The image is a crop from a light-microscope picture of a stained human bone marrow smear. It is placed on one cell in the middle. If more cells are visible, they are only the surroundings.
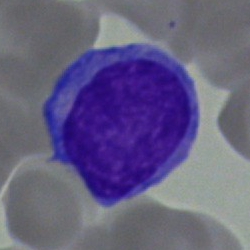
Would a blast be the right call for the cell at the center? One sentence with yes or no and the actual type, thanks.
Yes, the central cell is to be recorded as a blast.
